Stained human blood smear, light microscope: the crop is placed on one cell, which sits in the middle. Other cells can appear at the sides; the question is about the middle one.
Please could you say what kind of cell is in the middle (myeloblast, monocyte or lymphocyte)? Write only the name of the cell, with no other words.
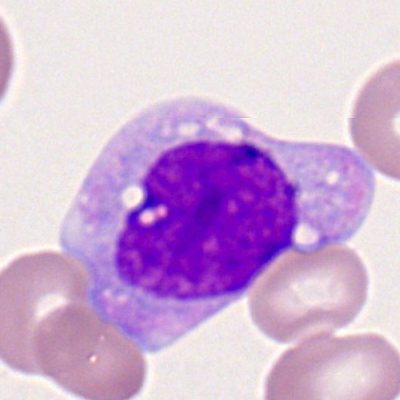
monocyte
